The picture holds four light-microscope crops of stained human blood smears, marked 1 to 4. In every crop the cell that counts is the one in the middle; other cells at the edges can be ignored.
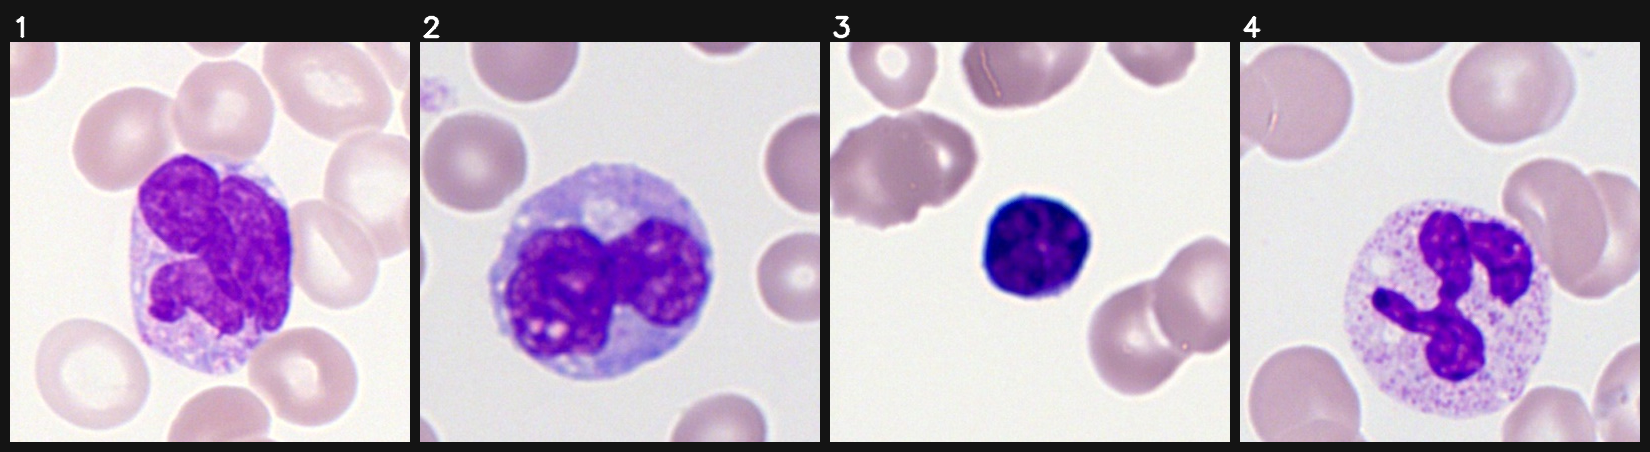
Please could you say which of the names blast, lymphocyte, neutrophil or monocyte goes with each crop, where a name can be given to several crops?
1: monocyte
2: monocyte
3: lymphocyte
4: neutrophil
